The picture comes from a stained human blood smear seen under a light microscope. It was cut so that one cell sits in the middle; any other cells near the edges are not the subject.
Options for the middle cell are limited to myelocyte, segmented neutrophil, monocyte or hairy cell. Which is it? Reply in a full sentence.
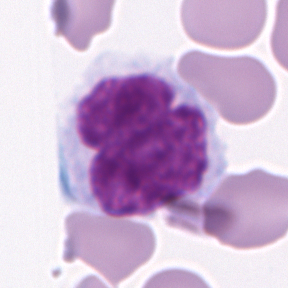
In the central position of this crop, the cell is a hairy cell.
